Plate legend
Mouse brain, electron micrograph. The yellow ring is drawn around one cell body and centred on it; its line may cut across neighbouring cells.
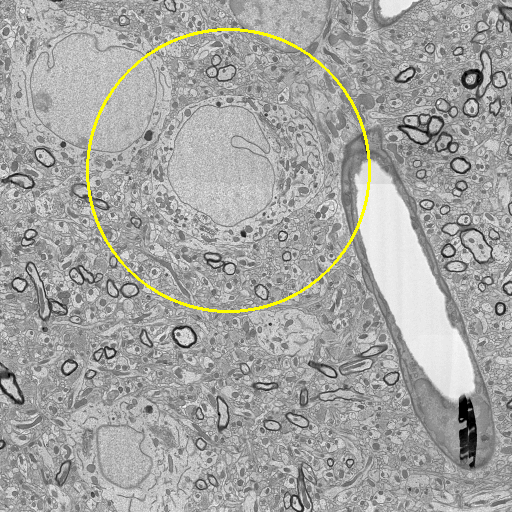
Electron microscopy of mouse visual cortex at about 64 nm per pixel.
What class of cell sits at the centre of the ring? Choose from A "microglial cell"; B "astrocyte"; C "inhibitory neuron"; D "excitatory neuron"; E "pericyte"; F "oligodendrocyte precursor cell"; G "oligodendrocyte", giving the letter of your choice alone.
C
